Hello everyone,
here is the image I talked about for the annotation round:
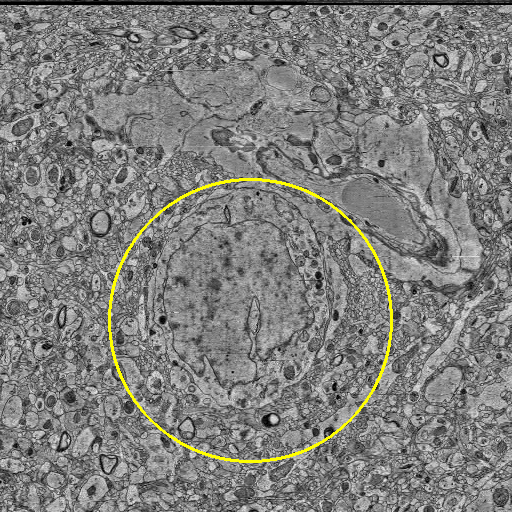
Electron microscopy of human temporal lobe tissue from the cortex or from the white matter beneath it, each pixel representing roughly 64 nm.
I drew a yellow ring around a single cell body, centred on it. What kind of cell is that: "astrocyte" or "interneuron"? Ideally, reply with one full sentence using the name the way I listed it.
The cell your yellow ring is centred on is an interneuron, going by your list.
